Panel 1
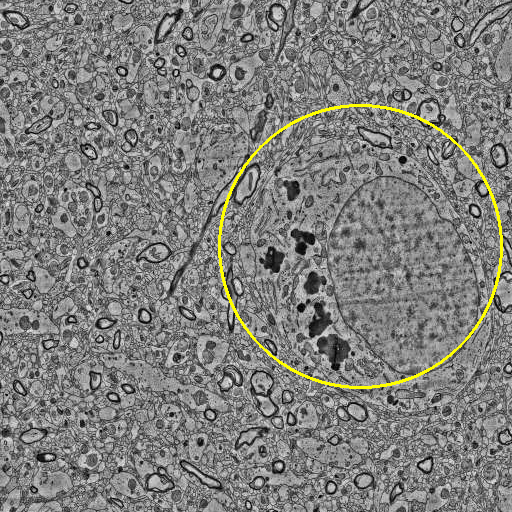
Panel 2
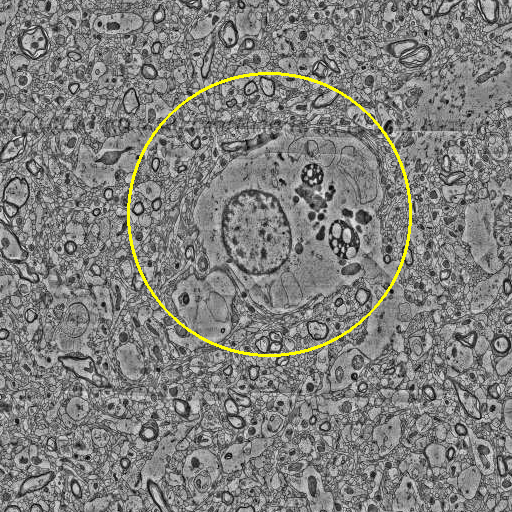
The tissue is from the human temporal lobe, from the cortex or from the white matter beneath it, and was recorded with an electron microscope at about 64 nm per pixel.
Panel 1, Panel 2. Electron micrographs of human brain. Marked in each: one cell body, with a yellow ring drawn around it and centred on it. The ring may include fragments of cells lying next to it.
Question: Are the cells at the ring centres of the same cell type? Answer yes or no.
no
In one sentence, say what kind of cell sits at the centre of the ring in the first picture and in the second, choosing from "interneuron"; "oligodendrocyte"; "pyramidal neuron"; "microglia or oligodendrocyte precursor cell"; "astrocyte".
The first picture's ringed cell is an interneuron, while the second picture's is an astrocyte.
